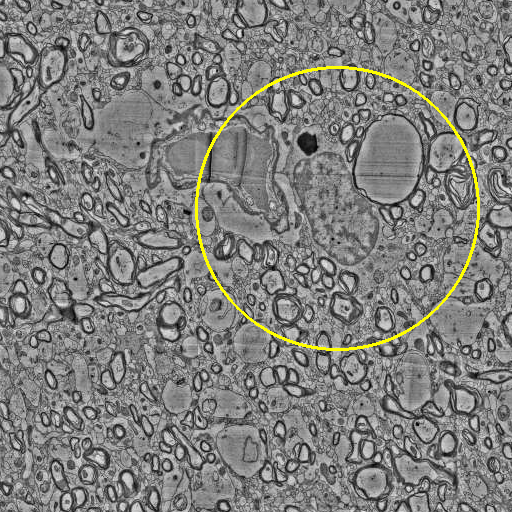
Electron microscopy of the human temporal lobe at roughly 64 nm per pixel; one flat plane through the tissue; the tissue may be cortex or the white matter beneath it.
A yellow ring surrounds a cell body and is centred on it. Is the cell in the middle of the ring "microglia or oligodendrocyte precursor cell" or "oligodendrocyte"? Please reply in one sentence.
The ring is centred on an oligodendrocyte.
